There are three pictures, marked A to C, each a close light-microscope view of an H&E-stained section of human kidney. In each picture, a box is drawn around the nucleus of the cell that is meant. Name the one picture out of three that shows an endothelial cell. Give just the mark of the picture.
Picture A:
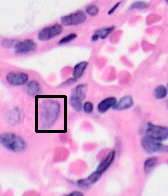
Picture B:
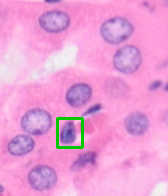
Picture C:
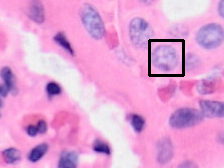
B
